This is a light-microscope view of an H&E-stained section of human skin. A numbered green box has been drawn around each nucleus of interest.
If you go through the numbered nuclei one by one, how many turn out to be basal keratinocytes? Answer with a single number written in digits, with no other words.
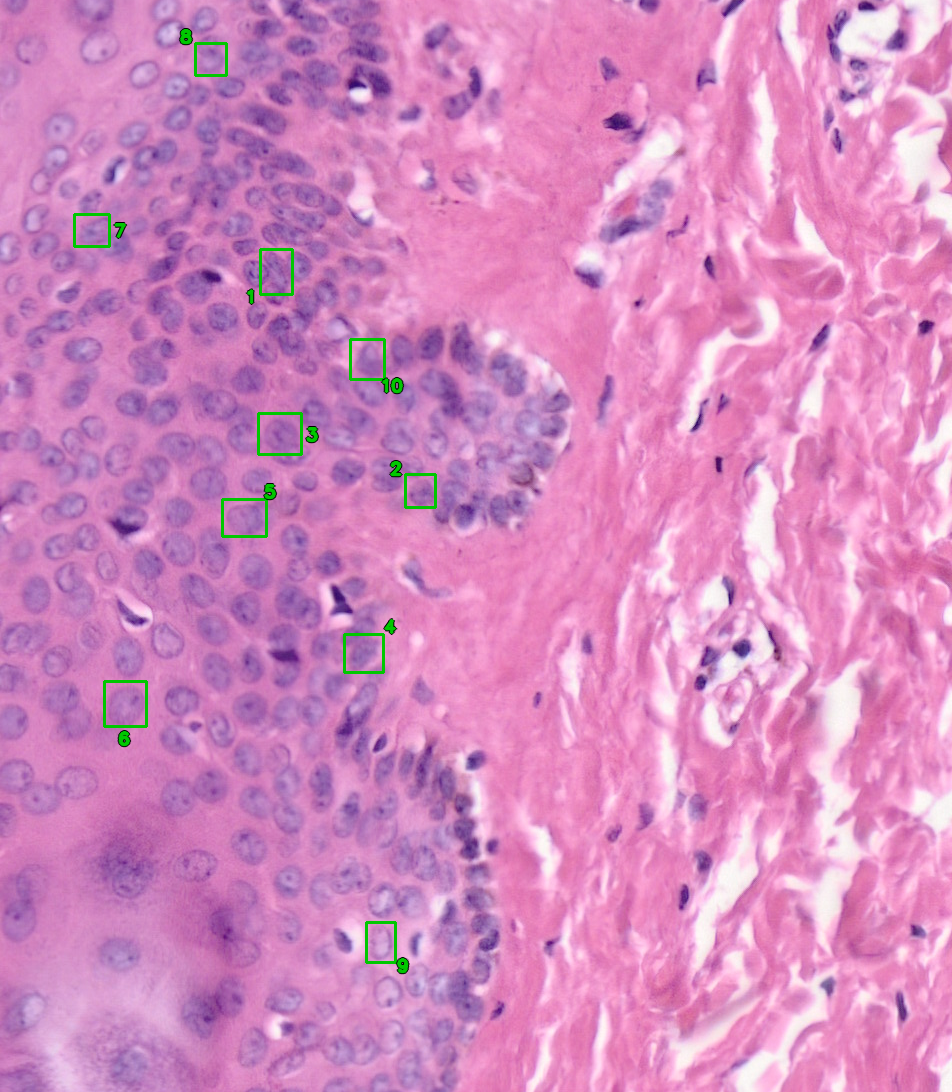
4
